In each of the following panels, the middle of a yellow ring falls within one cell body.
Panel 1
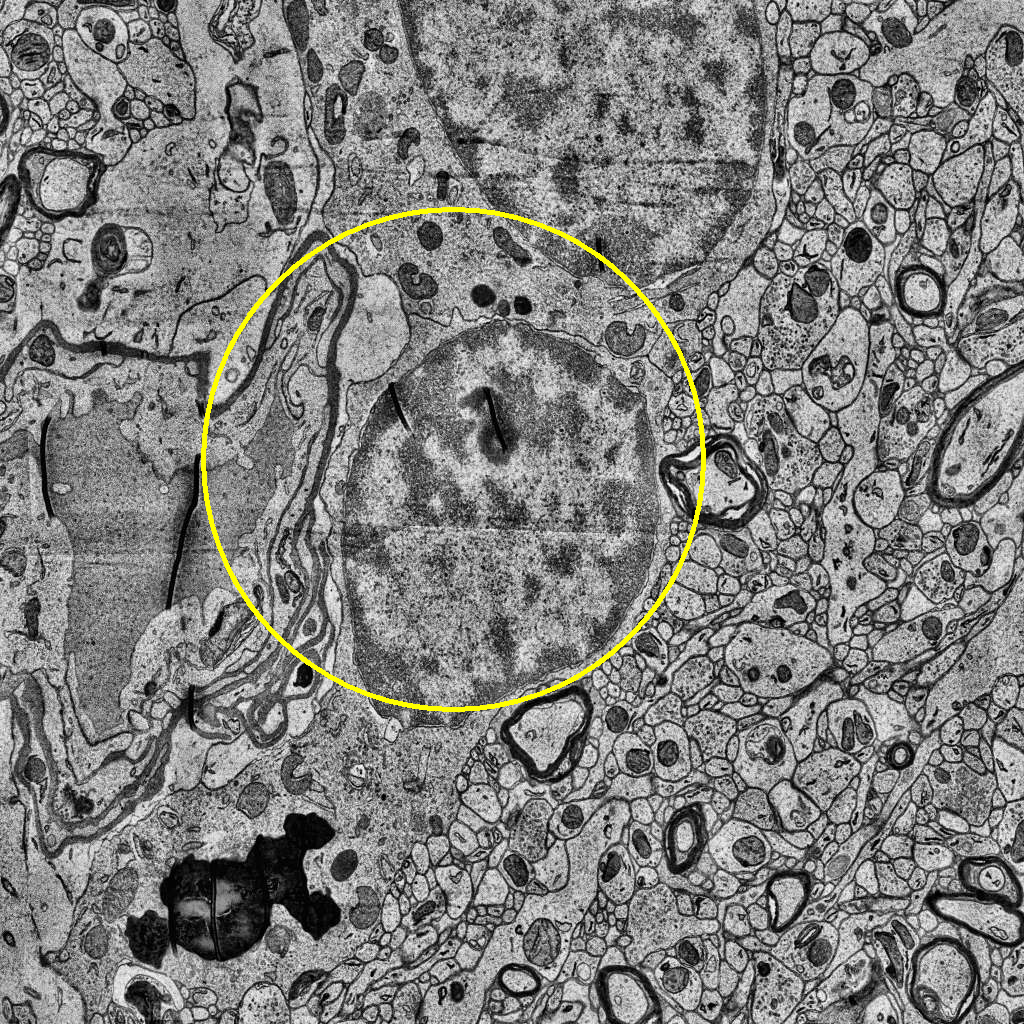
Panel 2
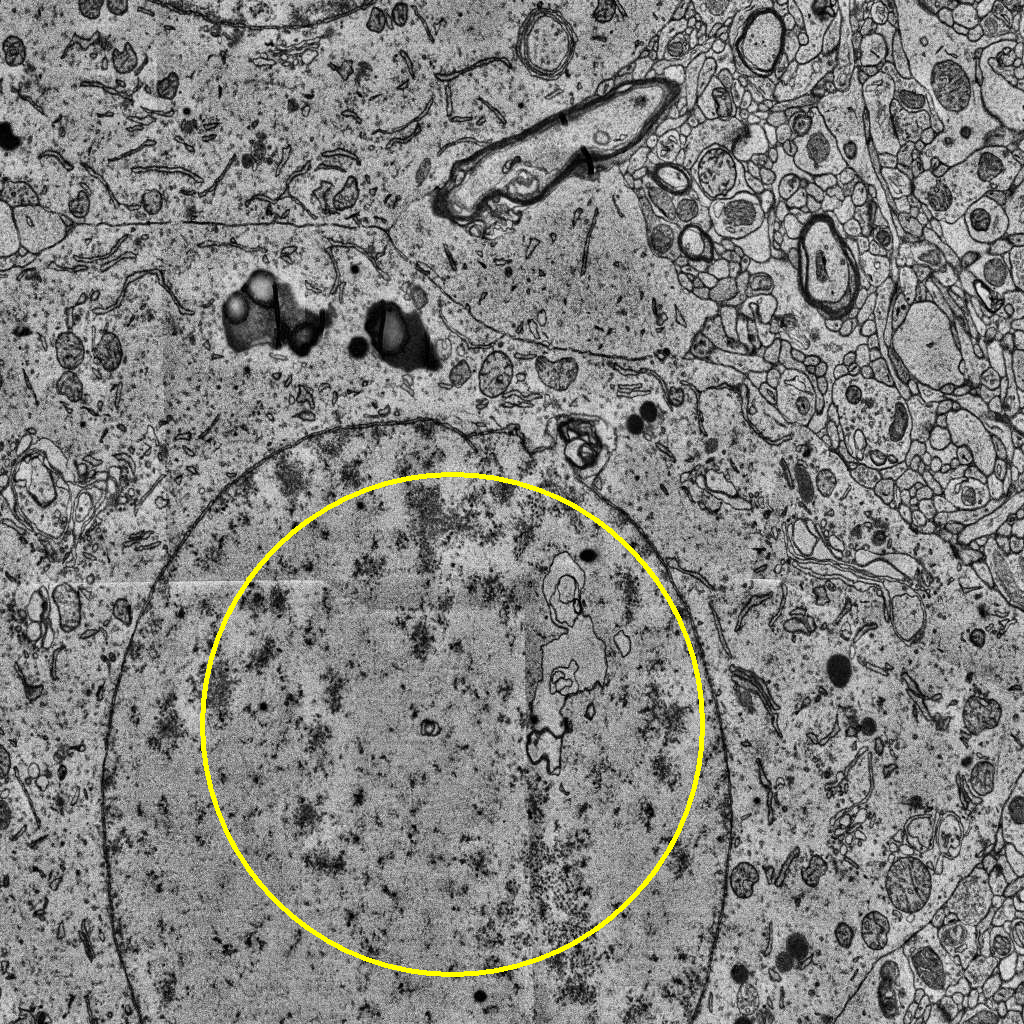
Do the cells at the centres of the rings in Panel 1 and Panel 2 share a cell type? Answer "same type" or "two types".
two types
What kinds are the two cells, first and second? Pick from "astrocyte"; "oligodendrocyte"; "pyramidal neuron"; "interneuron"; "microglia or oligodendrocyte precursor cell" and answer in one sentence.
Of the two, the first cell is an oligodendrocyte and the second cell is a pyramidal neuron.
